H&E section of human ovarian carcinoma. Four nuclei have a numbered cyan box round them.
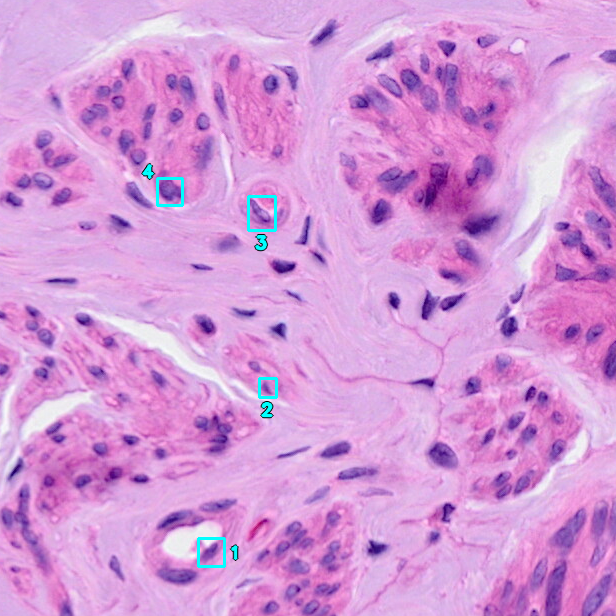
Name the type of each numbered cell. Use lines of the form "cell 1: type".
cell 1: endothelial cell
cell 2: smooth muscle cell
cell 3: endothelial cell
cell 4: smooth muscle cell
